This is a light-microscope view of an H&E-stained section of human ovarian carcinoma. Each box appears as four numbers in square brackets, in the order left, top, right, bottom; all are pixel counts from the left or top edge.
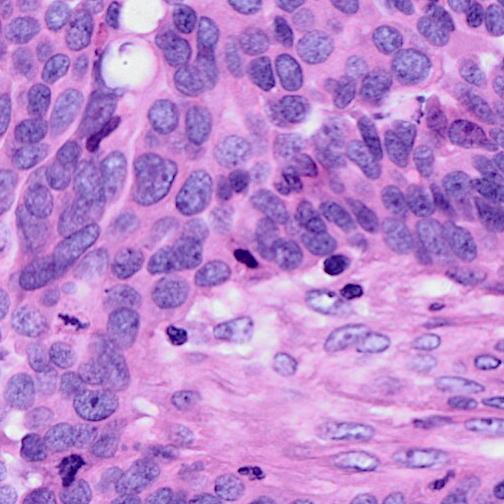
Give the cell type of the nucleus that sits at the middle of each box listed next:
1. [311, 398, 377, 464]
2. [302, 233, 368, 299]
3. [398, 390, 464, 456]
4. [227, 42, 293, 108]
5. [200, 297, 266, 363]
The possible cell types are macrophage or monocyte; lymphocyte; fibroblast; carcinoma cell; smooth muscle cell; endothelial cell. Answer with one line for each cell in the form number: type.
1: fibroblast
2: lymphocyte
3: fibroblast
4: carcinoma cell
5: fibroblast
